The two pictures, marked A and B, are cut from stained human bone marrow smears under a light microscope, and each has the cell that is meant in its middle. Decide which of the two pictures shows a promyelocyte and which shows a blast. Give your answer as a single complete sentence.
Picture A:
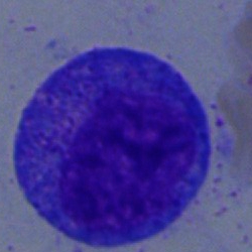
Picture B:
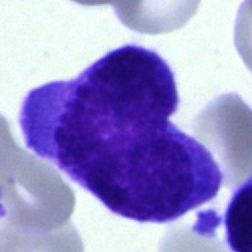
Picture A is of a promyelocyte, and picture B is of a blast.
